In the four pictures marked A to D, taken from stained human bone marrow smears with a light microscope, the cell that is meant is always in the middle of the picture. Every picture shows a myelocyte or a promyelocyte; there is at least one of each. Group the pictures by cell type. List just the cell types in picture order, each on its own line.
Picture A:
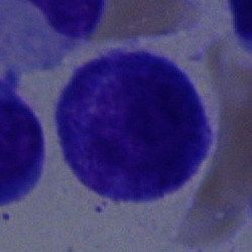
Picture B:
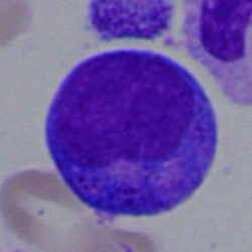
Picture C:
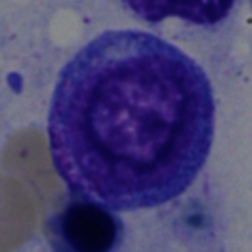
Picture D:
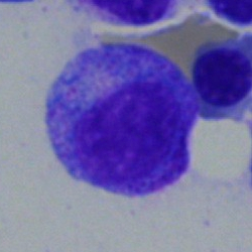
promyelocyte
promyelocyte
promyelocyte
myelocyte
